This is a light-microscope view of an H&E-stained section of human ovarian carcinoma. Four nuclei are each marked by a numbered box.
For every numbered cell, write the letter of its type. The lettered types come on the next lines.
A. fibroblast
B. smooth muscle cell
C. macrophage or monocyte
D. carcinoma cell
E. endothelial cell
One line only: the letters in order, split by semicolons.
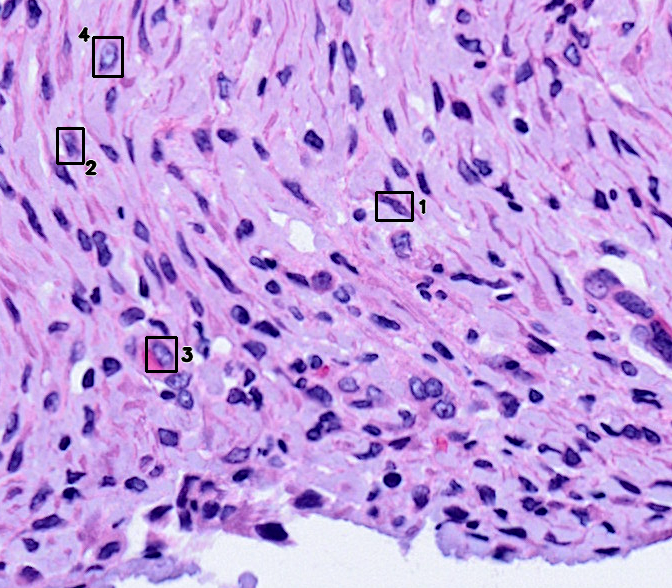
A; A; E; A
